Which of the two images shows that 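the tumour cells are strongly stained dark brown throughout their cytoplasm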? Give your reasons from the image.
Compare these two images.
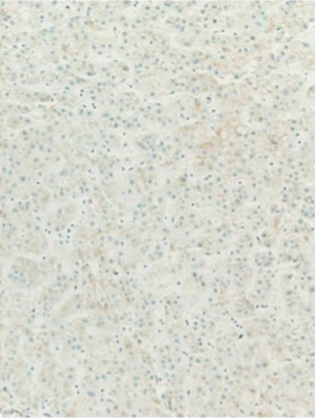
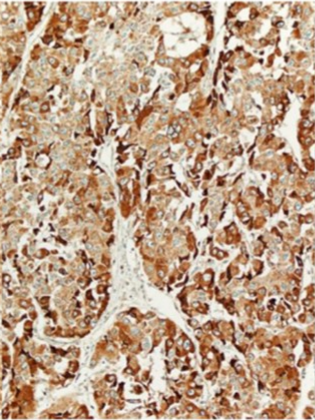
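Second image: most cells have intense dark brown cytoplasm. First image: cells are pale with blue nuclei and only faint brownish tinge. The answer: the second image.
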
